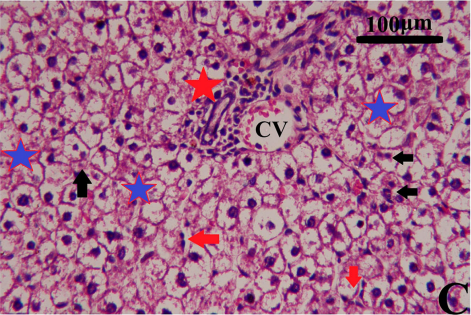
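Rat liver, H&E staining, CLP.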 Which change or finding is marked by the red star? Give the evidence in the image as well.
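A dense cluster of small cells with dark purple nuclei lies next to the central vein. The cluster interrupts the hepatocyte cords.
Conclusion: focal inflammation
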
